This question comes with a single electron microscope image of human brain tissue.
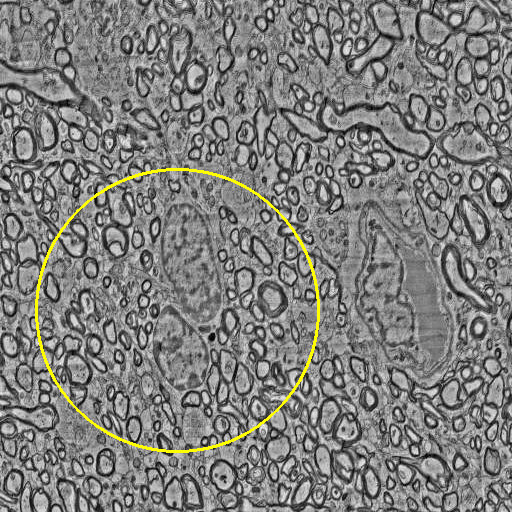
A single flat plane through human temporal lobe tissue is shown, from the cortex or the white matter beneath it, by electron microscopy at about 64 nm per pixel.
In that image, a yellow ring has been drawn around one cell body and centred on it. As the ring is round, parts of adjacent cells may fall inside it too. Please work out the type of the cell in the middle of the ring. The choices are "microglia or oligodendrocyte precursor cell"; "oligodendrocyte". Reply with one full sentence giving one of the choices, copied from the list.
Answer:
Of the choices, a microglial cell or oligodendrocyte precursor cell is the cell sitting in the middle of the ring.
